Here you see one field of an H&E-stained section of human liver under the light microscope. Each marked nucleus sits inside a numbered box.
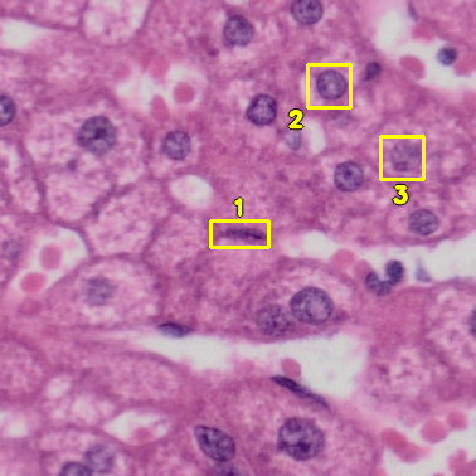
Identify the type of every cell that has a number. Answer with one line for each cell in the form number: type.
1: fibroblast or stellate cell
2: hepatocyte
3: hepatocyte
